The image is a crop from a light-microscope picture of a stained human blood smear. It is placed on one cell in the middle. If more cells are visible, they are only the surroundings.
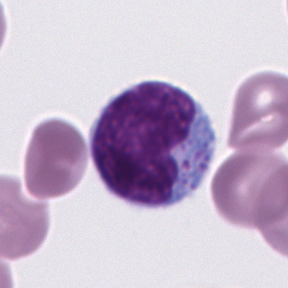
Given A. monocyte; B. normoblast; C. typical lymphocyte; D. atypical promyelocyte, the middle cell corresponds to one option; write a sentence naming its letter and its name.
The cell placed in the middle is a typical lymphocyte; option C is correct.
